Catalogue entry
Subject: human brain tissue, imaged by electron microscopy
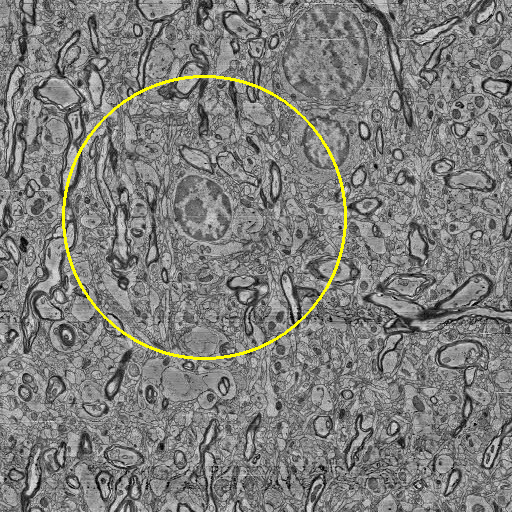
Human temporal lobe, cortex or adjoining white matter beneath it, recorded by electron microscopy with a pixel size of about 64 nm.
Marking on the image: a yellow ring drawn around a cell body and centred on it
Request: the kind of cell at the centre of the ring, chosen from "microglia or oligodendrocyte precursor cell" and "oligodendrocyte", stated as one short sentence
The ring has a microglial cell or oligodendrocyte precursor cell at its centre.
